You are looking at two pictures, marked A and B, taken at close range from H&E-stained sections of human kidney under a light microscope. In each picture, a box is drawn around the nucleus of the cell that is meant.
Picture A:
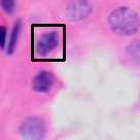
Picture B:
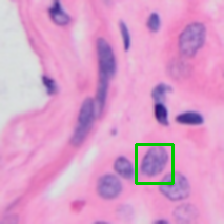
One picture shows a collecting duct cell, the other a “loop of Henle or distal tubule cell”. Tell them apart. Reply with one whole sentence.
Picture A is of a “loop of Henle or distal tubule cell”, and picture B is of a collecting duct cell.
